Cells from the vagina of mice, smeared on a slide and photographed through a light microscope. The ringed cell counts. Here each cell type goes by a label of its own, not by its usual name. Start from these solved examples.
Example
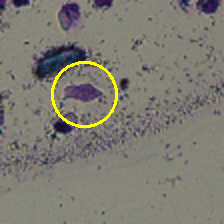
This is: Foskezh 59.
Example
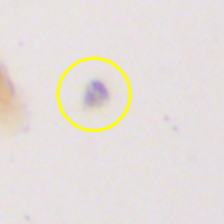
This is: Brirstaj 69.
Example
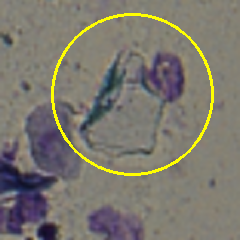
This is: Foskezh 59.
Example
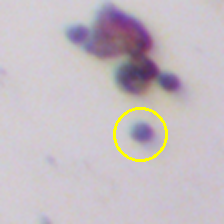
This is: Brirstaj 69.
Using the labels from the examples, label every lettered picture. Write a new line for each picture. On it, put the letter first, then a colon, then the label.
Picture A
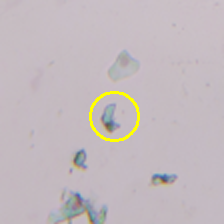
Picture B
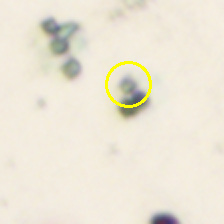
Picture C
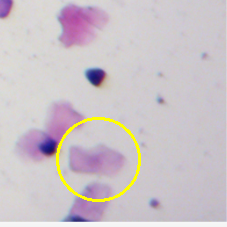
A: Foskezh 59.
B: Brirstaj 69.
C: Foskezh 59.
